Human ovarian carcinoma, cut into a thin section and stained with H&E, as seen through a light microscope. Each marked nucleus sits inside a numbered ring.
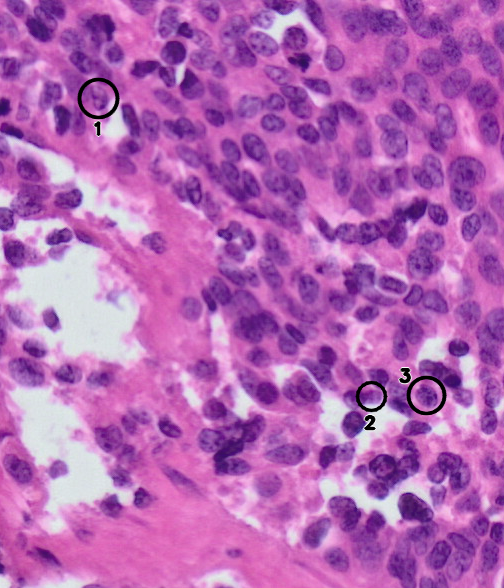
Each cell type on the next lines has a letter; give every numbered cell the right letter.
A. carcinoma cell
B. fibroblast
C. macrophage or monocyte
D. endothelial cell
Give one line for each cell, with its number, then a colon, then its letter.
1: C
2: A
3: C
